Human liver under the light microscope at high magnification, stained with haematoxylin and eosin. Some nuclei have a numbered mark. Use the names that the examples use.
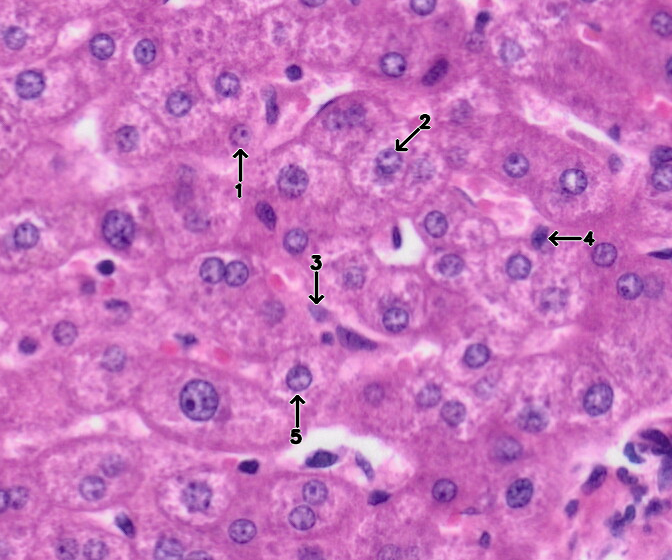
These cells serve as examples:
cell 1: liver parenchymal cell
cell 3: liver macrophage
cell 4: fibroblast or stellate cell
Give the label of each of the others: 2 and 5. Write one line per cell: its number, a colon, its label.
2: liver parenchymal cell
5: liver parenchymal cell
